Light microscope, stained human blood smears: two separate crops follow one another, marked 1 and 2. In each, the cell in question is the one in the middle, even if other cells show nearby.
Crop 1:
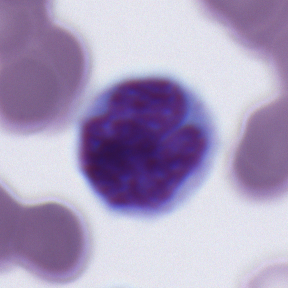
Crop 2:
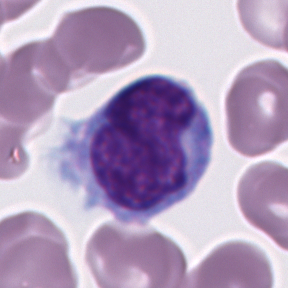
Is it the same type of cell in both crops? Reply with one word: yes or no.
yes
